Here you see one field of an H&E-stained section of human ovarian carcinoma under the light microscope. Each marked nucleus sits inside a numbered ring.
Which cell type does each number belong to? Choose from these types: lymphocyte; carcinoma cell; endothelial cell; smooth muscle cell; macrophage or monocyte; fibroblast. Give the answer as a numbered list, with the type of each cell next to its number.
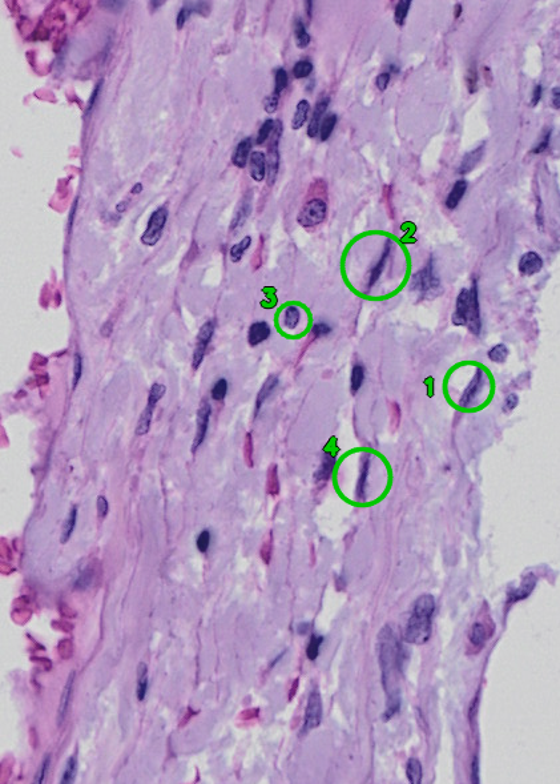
1. fibroblast
2. fibroblast
3. lymphocyte
4. fibroblast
